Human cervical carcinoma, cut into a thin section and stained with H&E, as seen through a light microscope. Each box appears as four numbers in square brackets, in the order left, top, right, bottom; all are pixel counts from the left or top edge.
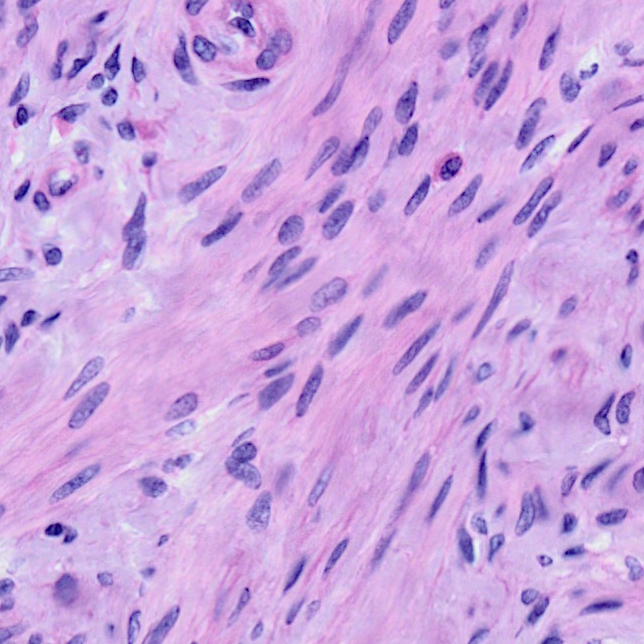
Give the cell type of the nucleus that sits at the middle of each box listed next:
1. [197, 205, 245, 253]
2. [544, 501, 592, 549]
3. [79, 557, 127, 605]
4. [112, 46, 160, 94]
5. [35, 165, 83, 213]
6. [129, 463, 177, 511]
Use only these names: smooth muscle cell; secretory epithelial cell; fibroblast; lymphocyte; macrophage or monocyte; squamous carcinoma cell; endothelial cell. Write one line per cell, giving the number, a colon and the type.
1: fibroblast
2: fibroblast
3: smooth muscle cell
4: fibroblast
5: endothelial cell
6: fibroblast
